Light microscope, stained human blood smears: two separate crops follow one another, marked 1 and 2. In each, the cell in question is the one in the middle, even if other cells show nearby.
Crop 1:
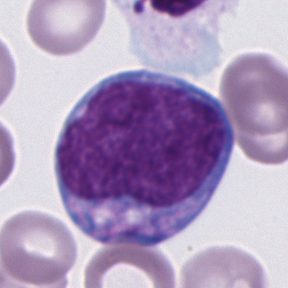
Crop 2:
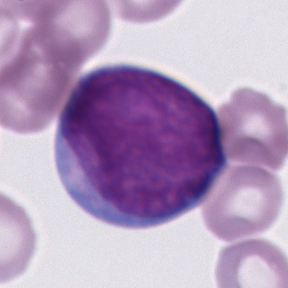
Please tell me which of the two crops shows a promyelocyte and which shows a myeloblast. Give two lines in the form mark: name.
1: promyelocyte
2: myeloblast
